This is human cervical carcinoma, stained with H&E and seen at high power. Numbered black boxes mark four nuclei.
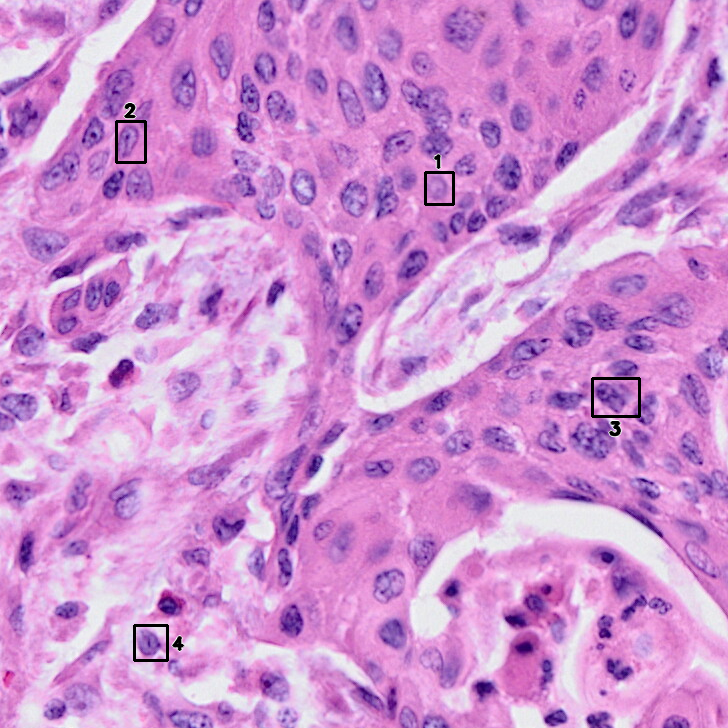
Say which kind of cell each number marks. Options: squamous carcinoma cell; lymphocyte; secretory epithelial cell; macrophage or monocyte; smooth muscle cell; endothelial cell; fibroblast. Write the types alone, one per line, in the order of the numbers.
squamous carcinoma cell
squamous carcinoma cell
squamous carcinoma cell
macrophage or monocyte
